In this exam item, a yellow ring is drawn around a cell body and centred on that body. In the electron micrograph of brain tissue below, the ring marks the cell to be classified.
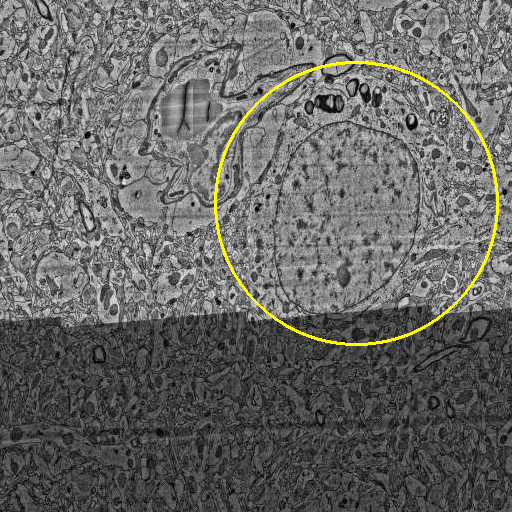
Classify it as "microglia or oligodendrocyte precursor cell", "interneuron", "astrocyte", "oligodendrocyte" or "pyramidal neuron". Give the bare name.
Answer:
pyramidal neuron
